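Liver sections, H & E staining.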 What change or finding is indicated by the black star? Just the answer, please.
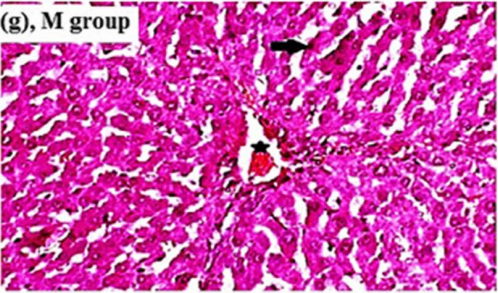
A: blood vessel congestion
